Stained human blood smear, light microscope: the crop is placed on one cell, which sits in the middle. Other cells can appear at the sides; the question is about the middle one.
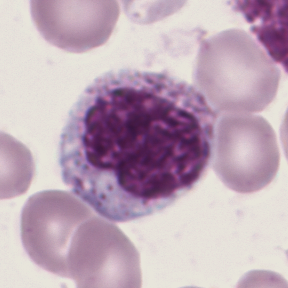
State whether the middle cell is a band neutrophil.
no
